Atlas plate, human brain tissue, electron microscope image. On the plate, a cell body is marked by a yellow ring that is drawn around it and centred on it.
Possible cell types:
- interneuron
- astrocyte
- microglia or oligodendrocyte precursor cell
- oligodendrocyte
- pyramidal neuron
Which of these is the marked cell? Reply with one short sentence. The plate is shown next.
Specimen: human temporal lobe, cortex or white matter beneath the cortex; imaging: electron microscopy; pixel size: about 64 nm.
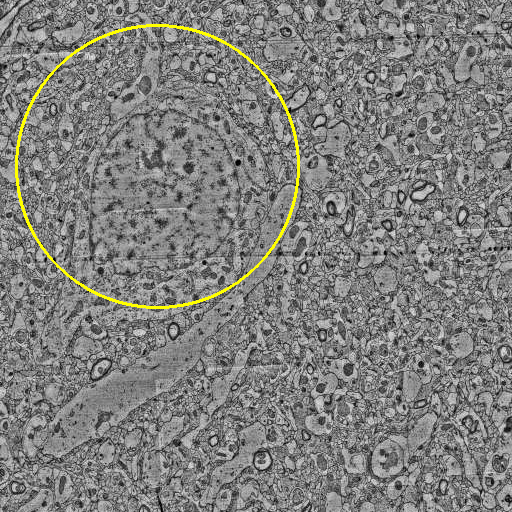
The marked cell is an interneuron.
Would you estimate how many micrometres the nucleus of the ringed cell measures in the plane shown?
The nucleus of the ringed cell is approximately 12 by 10 micrometres in this plane.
